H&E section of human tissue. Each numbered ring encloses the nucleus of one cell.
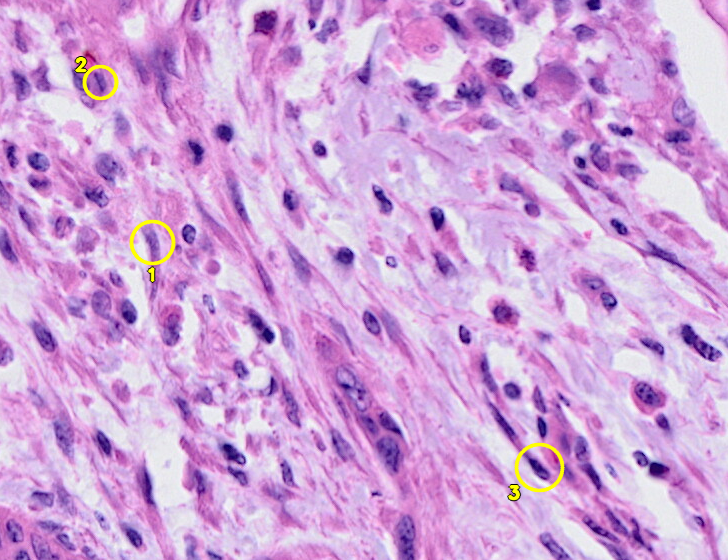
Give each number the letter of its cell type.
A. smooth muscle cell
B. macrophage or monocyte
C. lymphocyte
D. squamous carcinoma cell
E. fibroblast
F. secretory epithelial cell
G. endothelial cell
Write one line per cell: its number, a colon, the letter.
1: E
2: G
3: C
